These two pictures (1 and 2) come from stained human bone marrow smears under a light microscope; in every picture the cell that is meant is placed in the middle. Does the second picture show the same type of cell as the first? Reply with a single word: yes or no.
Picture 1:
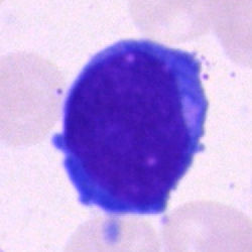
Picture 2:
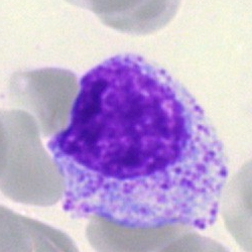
no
